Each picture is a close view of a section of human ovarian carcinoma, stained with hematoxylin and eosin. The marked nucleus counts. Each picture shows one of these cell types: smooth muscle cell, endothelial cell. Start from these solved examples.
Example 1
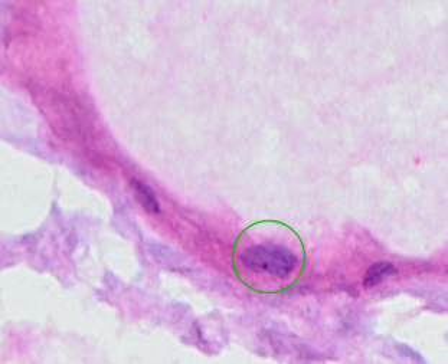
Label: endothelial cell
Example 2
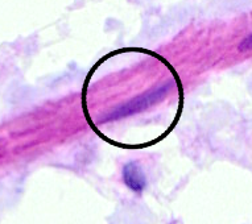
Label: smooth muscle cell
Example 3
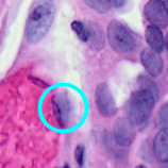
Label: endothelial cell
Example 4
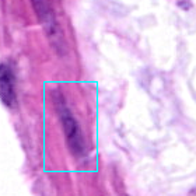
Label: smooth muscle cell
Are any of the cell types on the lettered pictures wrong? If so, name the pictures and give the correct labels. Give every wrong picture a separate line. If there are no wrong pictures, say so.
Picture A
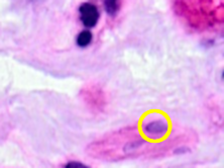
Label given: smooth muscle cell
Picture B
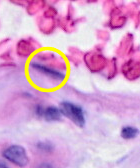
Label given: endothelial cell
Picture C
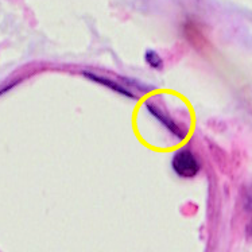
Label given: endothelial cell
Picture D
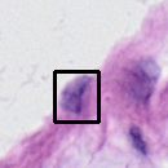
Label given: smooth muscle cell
D should be endothelial cell, not smooth muscle cell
